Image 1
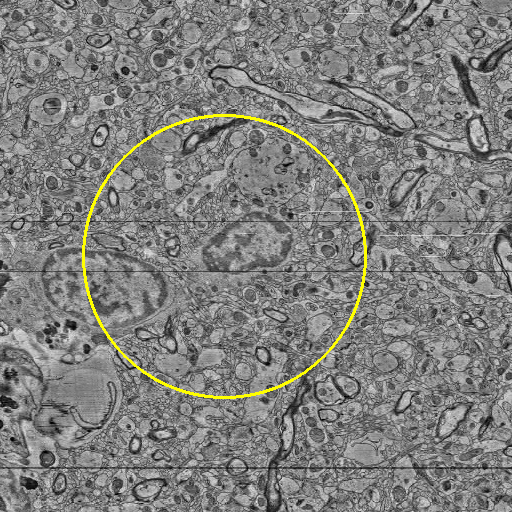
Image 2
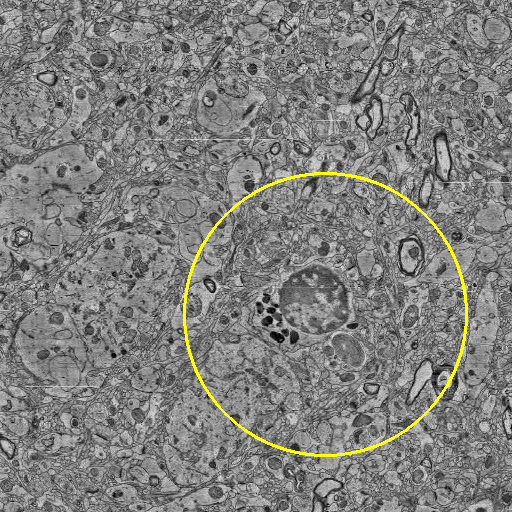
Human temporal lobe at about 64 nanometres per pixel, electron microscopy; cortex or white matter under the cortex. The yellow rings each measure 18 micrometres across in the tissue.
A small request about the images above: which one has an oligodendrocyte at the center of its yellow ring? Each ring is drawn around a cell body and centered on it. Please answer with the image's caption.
Image 1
